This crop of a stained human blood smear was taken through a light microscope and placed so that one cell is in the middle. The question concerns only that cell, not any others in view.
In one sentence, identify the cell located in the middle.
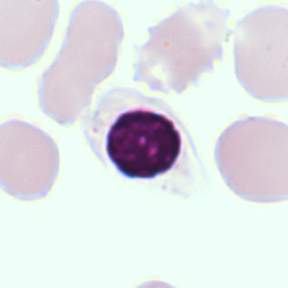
As for the central cell, it is a normoblast.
